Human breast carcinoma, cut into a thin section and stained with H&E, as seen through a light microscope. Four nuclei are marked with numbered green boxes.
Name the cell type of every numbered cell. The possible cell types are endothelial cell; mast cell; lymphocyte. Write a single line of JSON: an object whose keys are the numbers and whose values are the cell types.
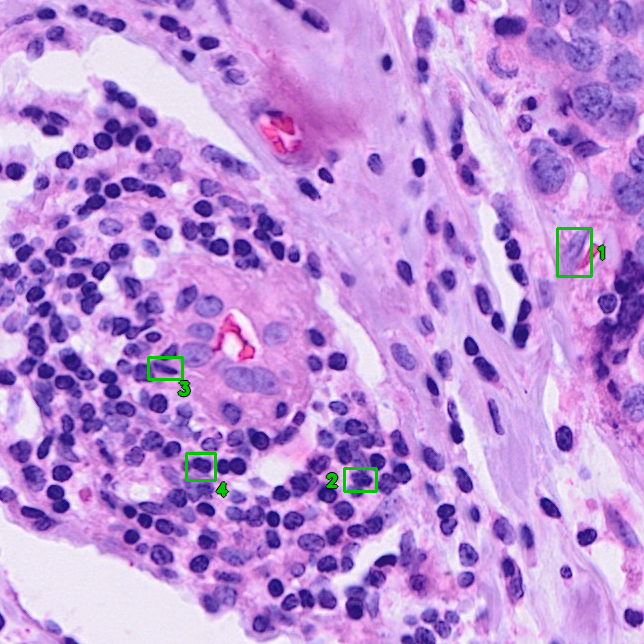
{"1": "endothelial cell", "2": "lymphocyte", "3": "lymphocyte", "4": "lymphocyte"}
